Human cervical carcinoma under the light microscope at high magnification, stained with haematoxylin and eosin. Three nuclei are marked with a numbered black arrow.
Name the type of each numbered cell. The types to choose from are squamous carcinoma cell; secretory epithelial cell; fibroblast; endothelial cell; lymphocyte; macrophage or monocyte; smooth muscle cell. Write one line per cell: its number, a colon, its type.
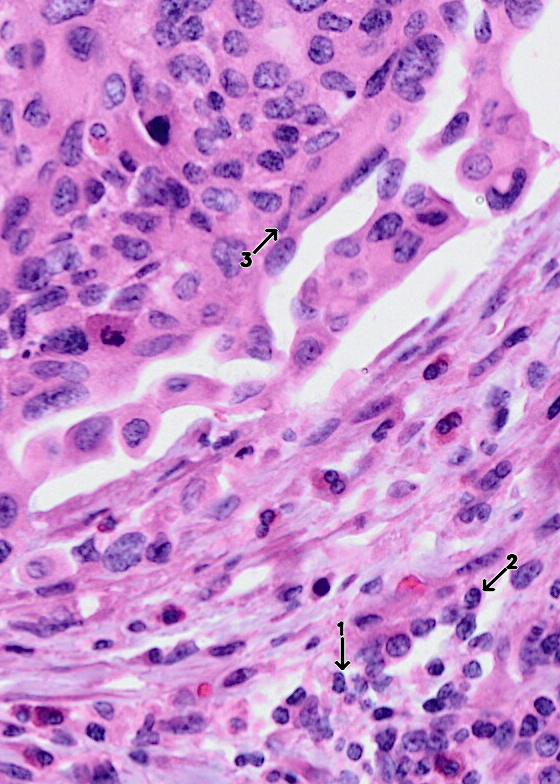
1: lymphocyte
2: lymphocyte
3: squamous carcinoma cell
